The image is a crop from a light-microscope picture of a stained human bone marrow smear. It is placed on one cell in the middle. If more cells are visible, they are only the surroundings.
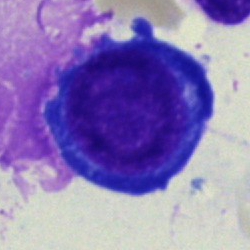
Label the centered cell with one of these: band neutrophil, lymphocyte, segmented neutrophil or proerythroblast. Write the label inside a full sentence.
The cell at the central position in this crop is a proerythroblast.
